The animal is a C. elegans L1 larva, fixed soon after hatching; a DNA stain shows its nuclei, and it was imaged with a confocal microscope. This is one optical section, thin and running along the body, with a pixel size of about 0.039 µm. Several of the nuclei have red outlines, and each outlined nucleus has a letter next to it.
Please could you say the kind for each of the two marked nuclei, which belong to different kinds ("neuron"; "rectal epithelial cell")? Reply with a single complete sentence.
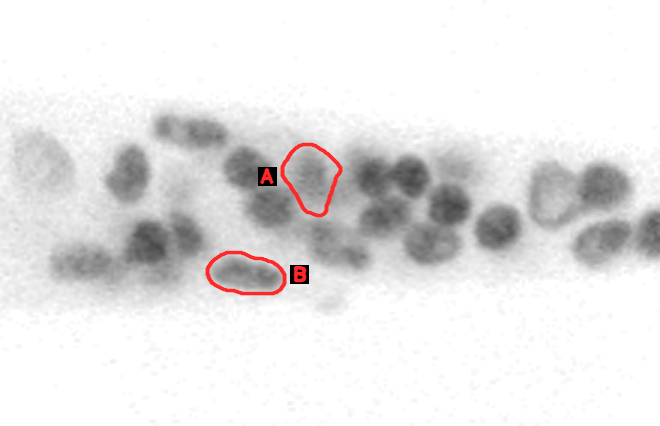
A is from a neuron, and B is from a rectal epithelial cell.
